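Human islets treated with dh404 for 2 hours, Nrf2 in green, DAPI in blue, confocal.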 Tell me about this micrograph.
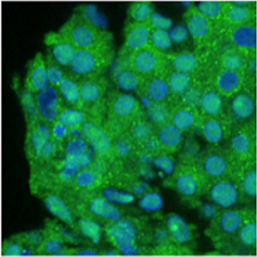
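Green fills the cytoplasm with a fine granular pattern. Many nuclei look pale cyan rather than pure blue, because green lies over them. A few small, elongated, dark-blue nuclei lie among the larger round ones.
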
